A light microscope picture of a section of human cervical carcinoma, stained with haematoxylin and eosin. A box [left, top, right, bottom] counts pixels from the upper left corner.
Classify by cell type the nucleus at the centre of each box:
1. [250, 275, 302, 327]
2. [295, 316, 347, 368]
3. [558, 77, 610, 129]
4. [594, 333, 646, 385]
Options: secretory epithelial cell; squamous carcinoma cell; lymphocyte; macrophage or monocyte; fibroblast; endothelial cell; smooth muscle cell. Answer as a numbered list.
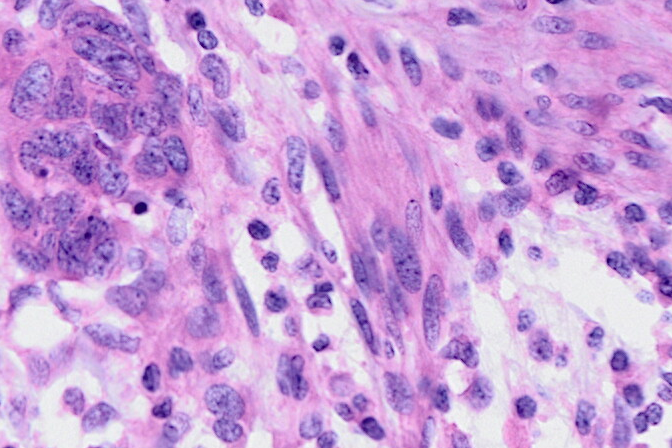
1. lymphocyte
2. lymphocyte
3. smooth muscle cell
4. lymphocyte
